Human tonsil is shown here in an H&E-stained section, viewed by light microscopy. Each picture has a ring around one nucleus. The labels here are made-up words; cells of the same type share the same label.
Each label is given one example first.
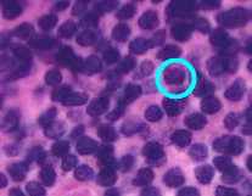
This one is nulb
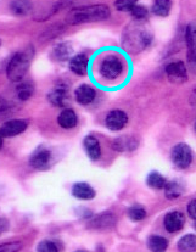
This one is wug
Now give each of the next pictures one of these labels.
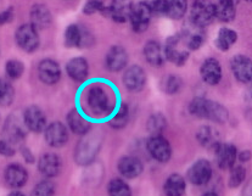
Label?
wug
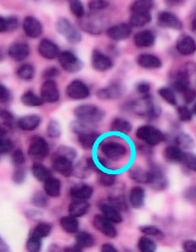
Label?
nulb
